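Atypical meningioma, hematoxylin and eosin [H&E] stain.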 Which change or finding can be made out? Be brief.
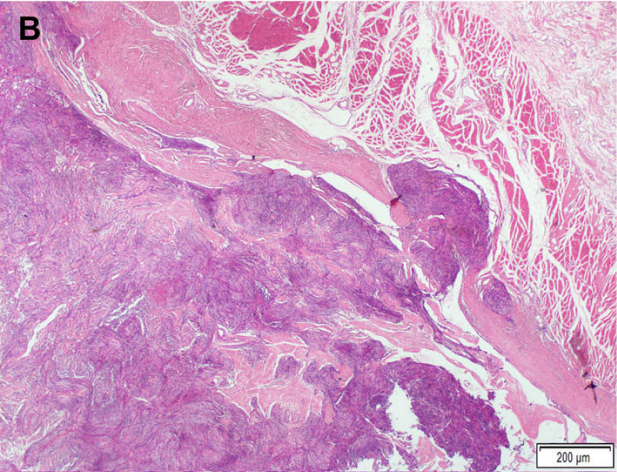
infiltrated the adjacent soft tissue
